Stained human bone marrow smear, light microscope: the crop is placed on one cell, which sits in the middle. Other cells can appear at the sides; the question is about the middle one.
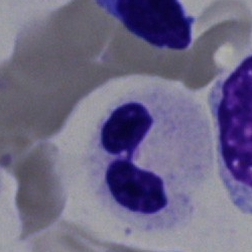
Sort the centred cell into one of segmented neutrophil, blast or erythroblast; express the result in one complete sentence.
This crop's central cell is a segmented neutrophil.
